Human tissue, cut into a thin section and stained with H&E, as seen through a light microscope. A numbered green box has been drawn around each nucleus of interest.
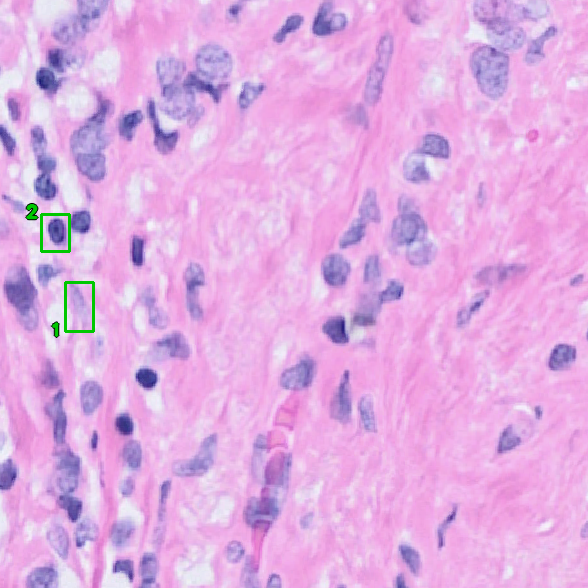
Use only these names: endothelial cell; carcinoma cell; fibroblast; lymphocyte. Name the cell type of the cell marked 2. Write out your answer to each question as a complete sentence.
At number 2, the marked cell is a lymphocyte.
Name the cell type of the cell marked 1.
Looking at the numbered marks, cell 1 is a fibroblast.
